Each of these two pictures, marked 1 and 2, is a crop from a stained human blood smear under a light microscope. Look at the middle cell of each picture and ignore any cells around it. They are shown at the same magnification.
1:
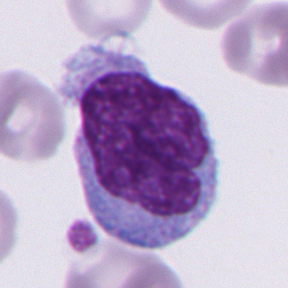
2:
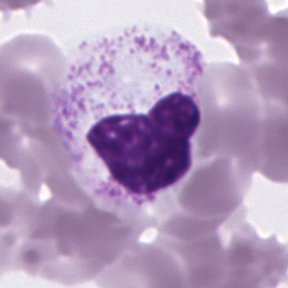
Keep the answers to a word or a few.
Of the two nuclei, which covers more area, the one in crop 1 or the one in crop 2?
1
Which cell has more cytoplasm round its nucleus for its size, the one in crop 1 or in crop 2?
2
